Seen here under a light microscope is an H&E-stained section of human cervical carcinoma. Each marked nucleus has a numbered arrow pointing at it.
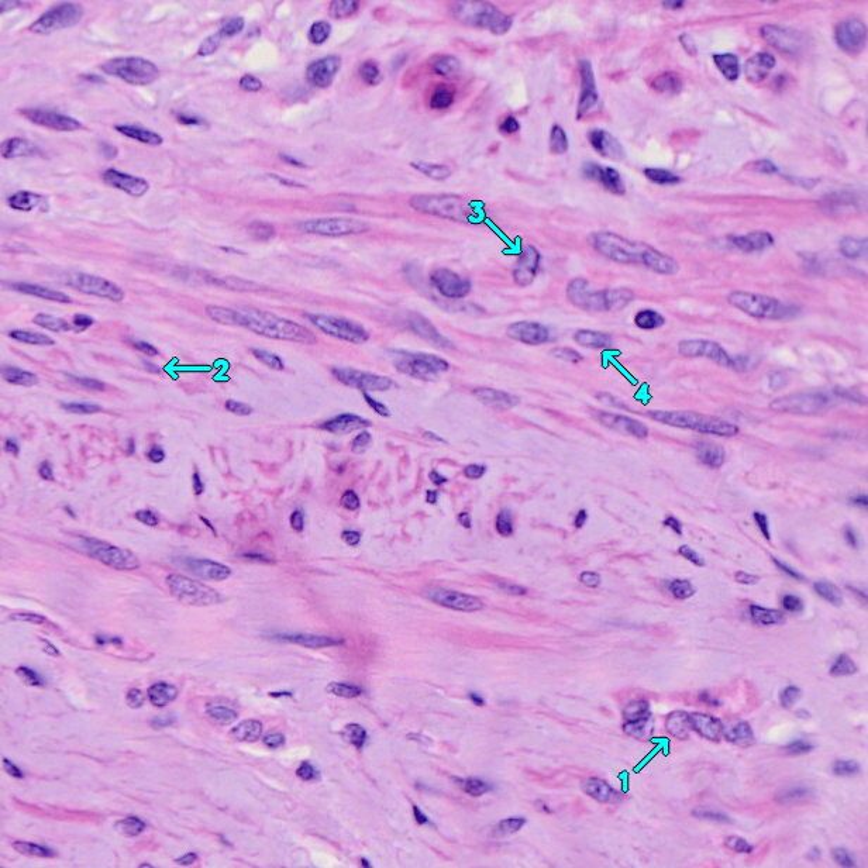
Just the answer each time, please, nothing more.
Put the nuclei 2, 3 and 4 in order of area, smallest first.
2, 4, 3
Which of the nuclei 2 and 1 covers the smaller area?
2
